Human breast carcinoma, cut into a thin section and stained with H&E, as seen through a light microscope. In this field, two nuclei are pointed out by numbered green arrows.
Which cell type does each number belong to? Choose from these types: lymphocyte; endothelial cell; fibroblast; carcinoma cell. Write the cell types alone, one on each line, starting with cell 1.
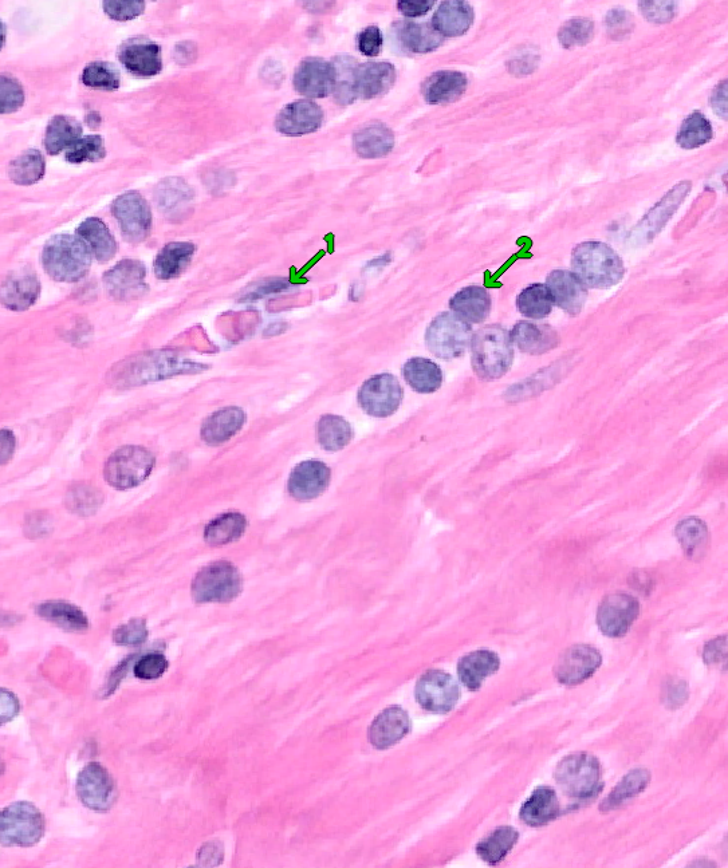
endothelial cell
carcinoma cell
